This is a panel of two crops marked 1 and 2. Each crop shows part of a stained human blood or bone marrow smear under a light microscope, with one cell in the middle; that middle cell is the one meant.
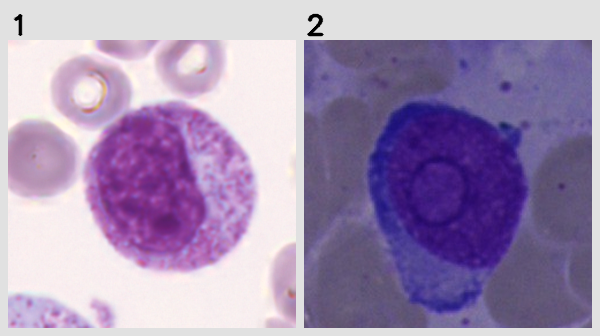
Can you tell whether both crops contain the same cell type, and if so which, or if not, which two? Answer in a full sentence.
No, enter a myelocyte for crop 1 and a blast for crop 2.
